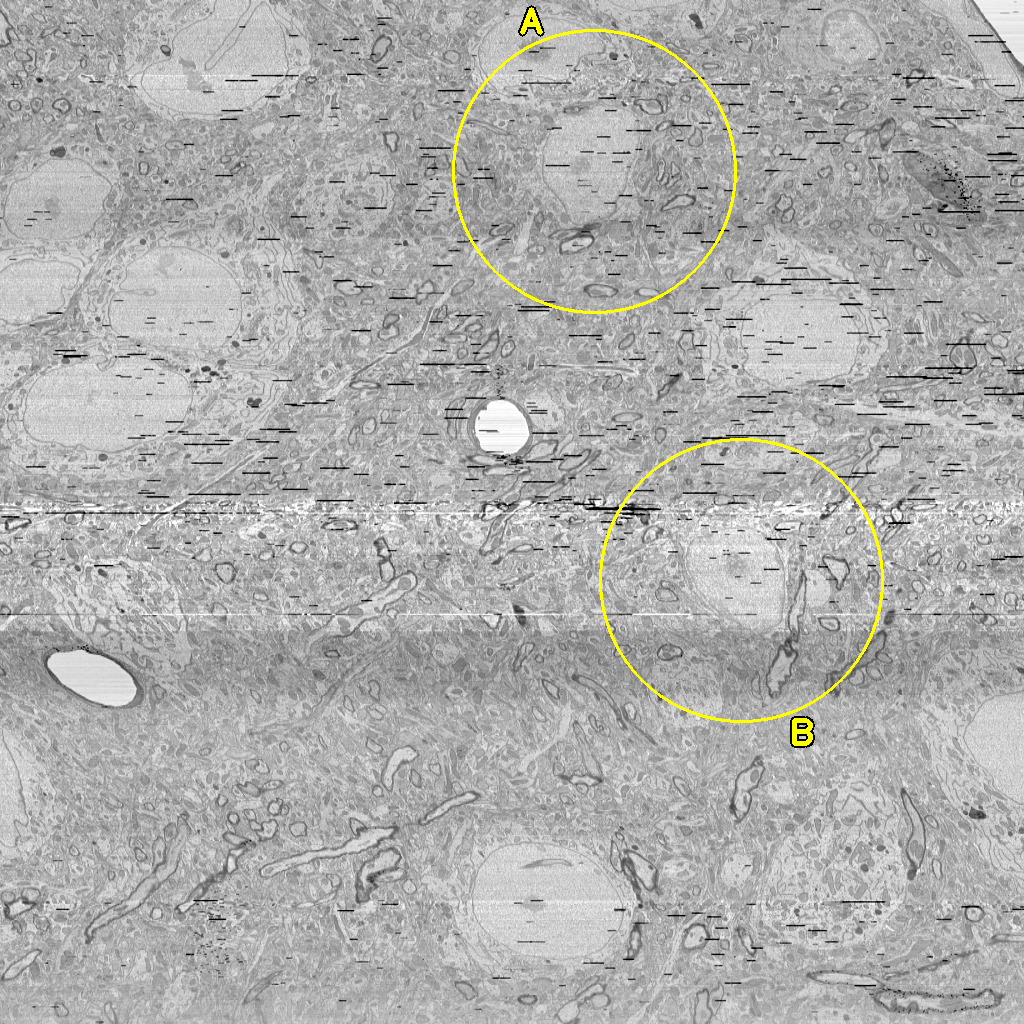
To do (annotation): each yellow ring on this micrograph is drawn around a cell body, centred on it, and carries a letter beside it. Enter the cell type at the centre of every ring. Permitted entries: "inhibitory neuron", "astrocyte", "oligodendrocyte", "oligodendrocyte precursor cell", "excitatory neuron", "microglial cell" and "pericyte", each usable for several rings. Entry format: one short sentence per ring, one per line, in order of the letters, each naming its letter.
Ring A: the cell at its centre is an astrocyte.
Ring B: the cell at its centre is an astrocyte.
